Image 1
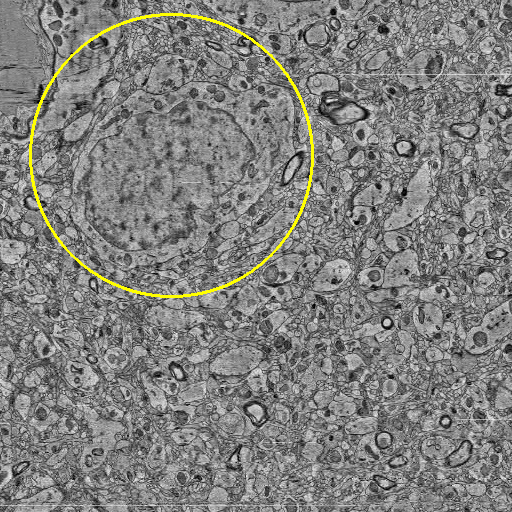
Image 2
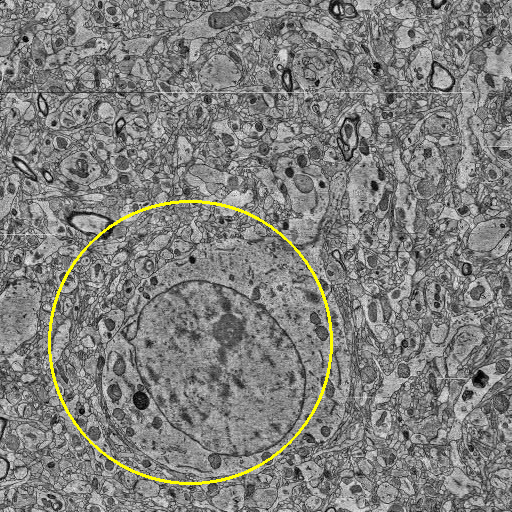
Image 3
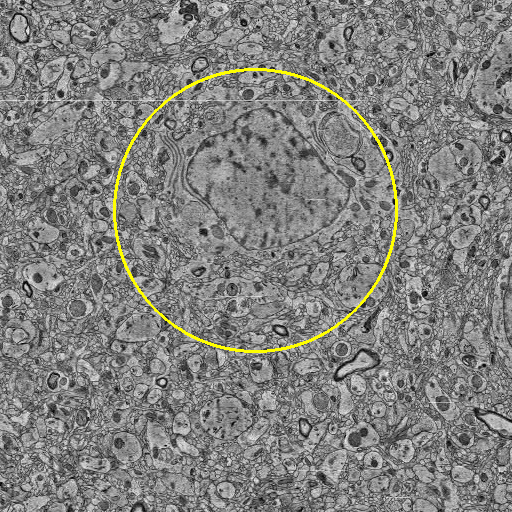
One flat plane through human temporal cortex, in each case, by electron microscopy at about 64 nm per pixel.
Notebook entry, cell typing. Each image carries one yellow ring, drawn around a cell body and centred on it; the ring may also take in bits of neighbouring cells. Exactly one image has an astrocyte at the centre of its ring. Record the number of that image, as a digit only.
3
